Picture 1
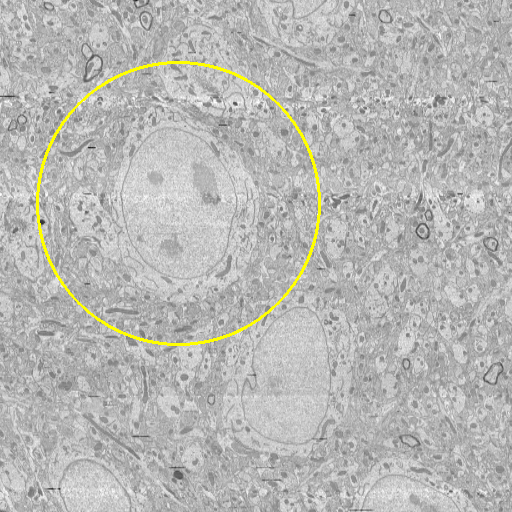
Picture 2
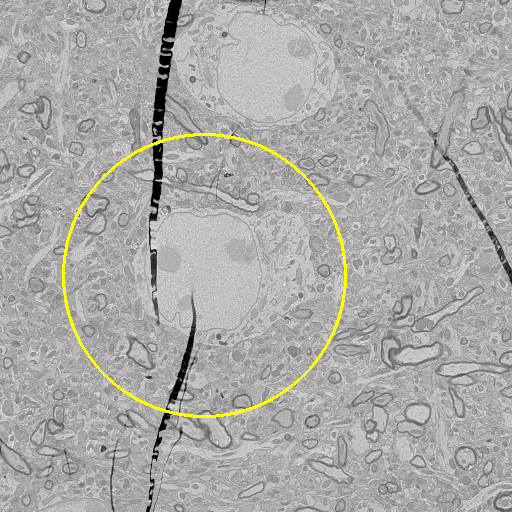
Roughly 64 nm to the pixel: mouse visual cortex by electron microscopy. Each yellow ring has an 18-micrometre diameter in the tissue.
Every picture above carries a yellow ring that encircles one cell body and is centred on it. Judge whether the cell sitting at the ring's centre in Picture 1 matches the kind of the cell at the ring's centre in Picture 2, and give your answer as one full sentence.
Yes, the cells centred in the rings of Pictures 1 and 2 belong to one kind.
